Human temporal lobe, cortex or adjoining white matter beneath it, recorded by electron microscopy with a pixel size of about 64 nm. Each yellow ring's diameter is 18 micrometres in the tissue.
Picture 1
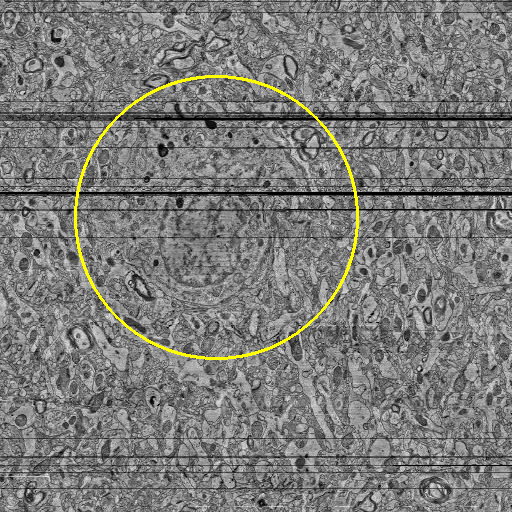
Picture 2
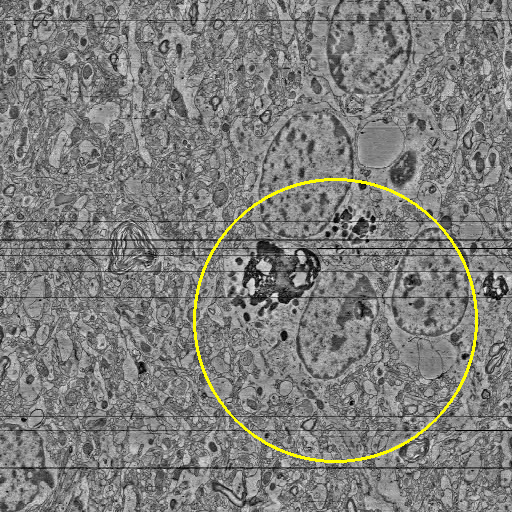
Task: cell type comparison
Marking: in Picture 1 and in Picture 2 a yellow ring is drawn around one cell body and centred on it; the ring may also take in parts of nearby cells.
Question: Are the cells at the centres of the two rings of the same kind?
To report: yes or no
no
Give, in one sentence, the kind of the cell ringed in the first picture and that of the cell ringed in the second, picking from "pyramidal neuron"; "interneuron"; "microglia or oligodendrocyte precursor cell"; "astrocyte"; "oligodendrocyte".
For the first picture it is an interneuron; for the second, an astrocyte.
